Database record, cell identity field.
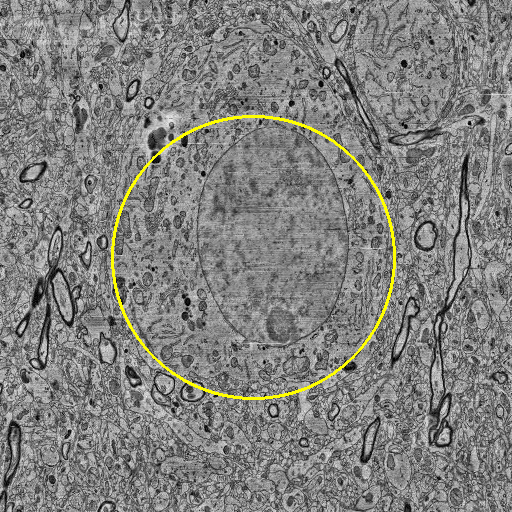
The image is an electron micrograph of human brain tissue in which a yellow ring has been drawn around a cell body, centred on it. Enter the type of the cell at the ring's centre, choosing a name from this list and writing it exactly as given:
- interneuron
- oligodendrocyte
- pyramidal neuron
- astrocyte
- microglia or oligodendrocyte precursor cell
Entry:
interneuron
